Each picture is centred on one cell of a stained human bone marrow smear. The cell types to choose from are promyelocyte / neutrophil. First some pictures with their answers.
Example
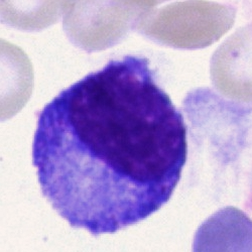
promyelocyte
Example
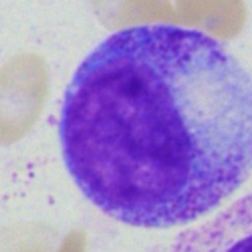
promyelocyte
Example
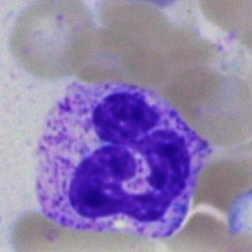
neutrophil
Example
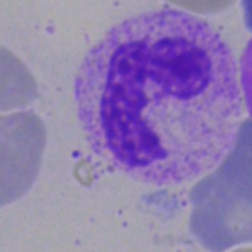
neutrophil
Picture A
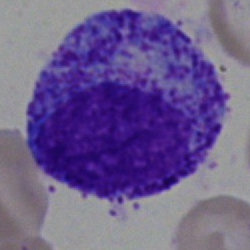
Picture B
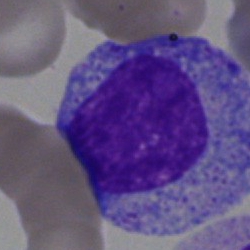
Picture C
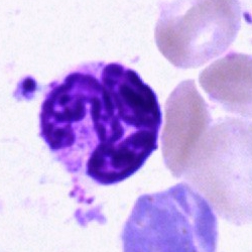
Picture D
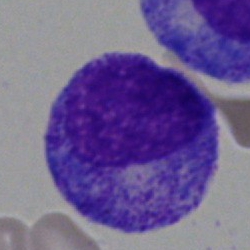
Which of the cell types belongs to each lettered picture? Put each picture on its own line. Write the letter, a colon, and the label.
A: promyelocyte
B: promyelocyte
C: neutrophil
D: promyelocyte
